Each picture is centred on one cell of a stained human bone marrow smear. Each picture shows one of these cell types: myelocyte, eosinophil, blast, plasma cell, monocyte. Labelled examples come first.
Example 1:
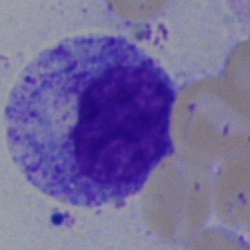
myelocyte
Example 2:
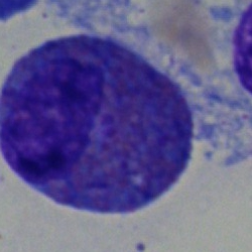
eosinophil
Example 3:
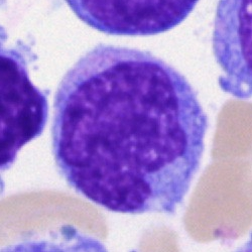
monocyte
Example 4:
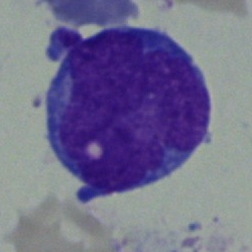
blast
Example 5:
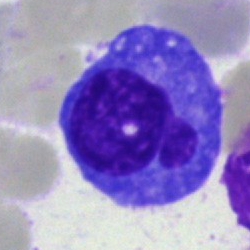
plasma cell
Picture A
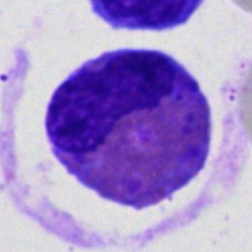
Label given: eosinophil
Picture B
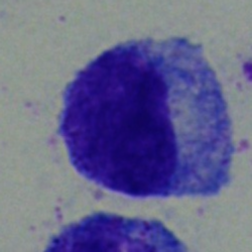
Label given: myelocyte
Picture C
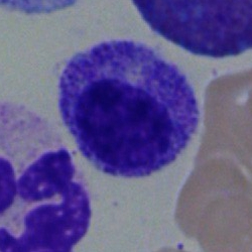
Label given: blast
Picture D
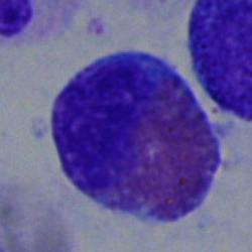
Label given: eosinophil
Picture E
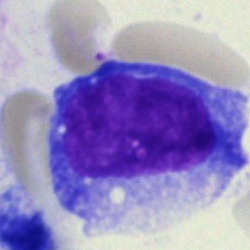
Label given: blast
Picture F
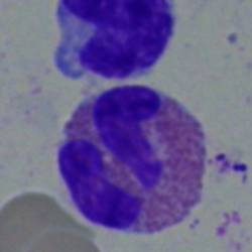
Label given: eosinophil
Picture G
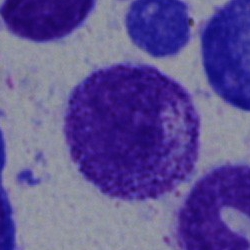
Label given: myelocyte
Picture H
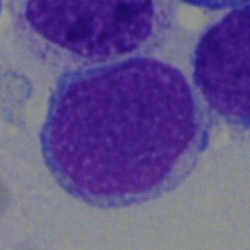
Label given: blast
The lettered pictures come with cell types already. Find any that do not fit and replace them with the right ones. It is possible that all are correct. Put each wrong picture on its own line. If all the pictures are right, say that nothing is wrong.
Wrong: C (blast); correct: myelocyte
